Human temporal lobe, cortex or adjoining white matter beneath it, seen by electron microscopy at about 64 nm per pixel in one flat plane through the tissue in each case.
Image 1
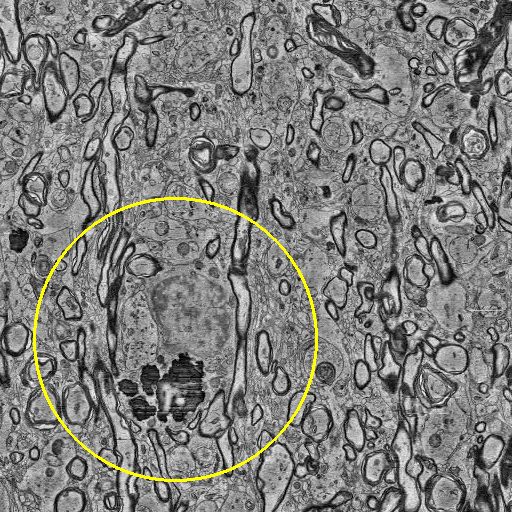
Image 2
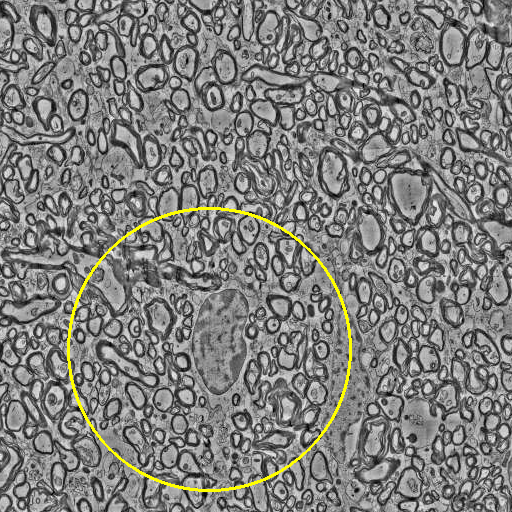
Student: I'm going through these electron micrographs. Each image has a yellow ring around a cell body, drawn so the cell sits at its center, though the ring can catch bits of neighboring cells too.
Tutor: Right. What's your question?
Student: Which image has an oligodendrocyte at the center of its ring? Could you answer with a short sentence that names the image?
Image 1 shows it at the center of its ring.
